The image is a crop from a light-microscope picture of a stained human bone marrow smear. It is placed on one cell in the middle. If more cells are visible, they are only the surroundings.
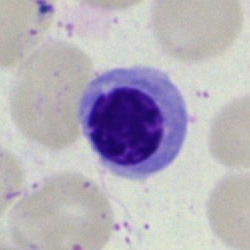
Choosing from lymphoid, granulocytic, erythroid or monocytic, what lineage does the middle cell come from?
erythroid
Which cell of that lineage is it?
erythroblast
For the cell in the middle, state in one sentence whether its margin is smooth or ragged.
If you check the edge, you will find it smooth without projections.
